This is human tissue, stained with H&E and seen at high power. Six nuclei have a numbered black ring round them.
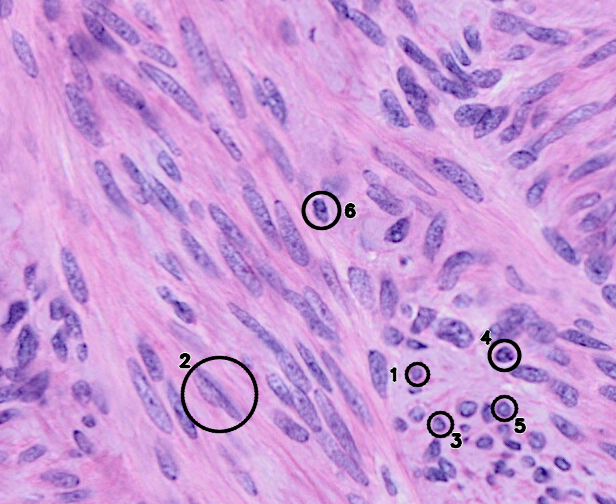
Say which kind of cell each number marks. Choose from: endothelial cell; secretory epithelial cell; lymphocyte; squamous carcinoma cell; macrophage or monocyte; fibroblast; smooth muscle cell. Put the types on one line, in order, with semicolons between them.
smooth muscle cell; smooth muscle cell; smooth muscle cell; lymphocyte; smooth muscle cell; lymphocyte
